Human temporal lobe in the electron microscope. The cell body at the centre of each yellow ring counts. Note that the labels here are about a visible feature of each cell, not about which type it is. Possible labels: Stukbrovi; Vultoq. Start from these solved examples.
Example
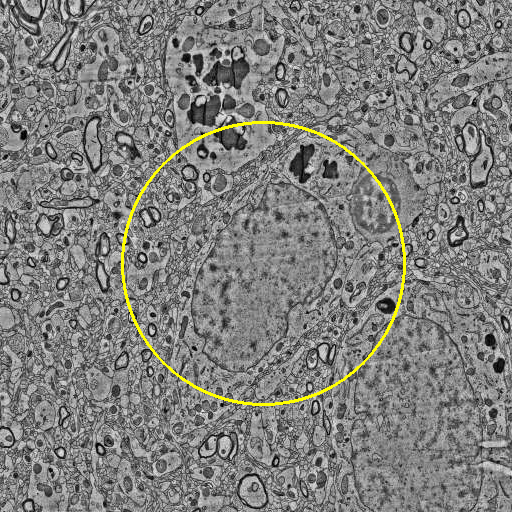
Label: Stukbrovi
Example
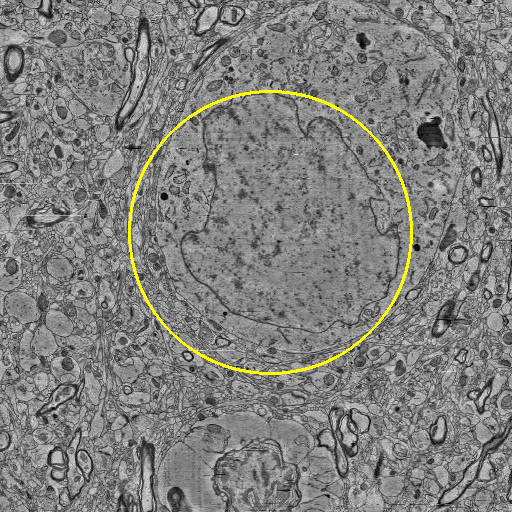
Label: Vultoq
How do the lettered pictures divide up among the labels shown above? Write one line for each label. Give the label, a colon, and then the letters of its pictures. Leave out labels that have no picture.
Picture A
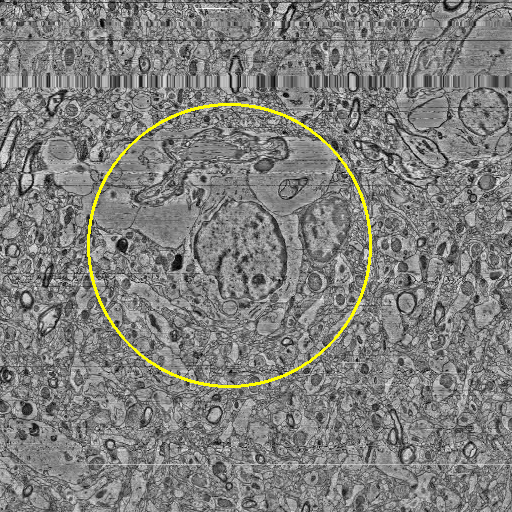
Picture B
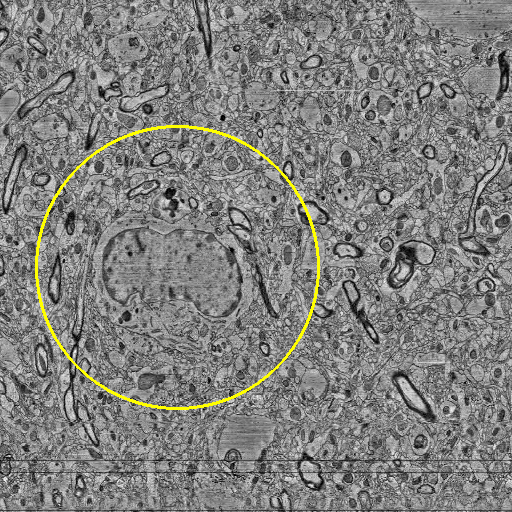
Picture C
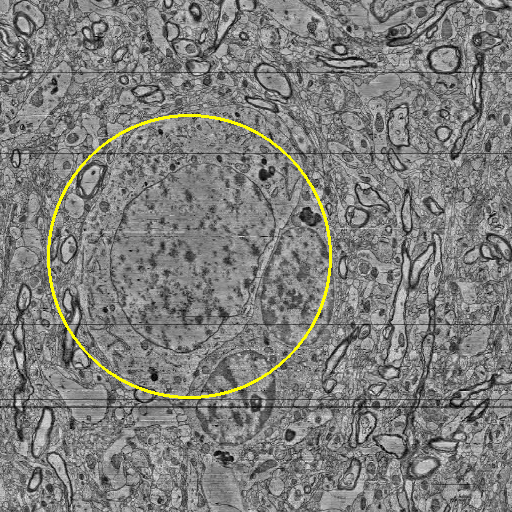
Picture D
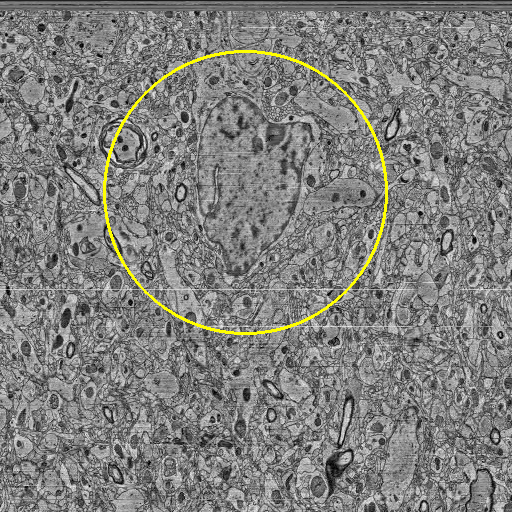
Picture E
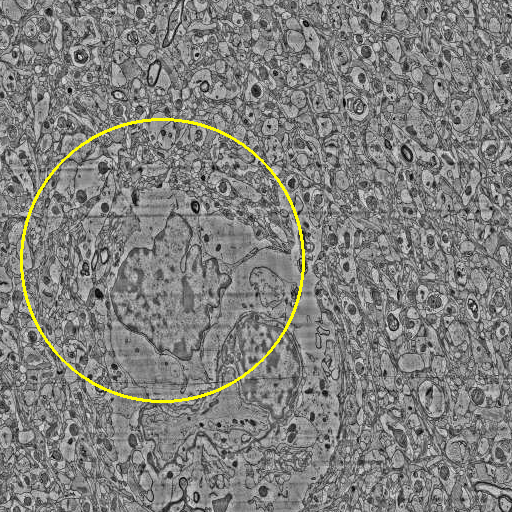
Stukbrovi: C
Vultoq: A, B, D, E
